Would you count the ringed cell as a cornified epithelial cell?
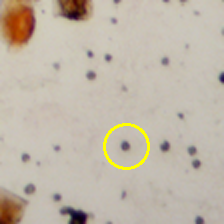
No, I would count it as a leukocyte.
